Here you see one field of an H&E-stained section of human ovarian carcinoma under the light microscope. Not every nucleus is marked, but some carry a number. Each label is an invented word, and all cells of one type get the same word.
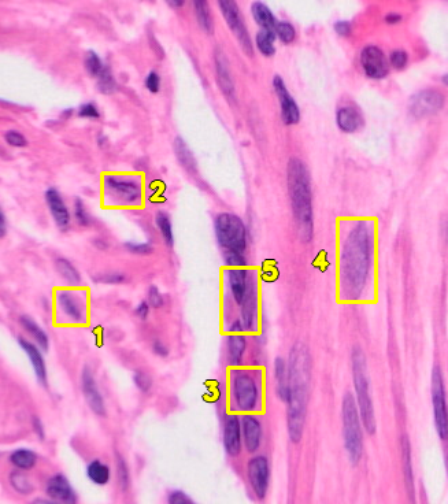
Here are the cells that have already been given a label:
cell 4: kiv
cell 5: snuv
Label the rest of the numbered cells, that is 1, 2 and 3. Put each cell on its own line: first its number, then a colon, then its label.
1: kiv
2: kiv
3: snuv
